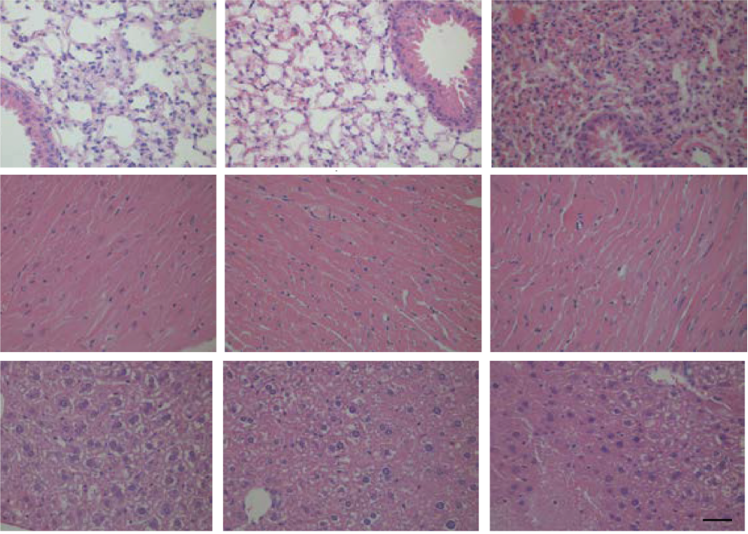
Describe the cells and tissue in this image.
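This is a three-by-three grid of pink-and-purple stained tissue sections. The top row shows lung tissue, the middle row heart muscle, and the bottom row liver. In the top row, the left and middle images show thin-walled alveolar septa around open, pale air spaces. The middle image also includes an airway lined by a folded purple epithelium. In the right lung image, most of the air spaces are replaced by densely packed purple nuclei and pink material, with only a small lumen left. The heart images show pink, elongated muscle fibres in parallel bundles with scattered oval nuclei, and the liver images show sheets of polygonal cells with round central nuclei and pale, granular pink cytoplasm.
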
